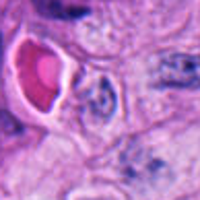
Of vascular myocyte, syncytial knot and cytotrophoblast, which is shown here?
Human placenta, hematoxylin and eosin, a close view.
cytotrophoblast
